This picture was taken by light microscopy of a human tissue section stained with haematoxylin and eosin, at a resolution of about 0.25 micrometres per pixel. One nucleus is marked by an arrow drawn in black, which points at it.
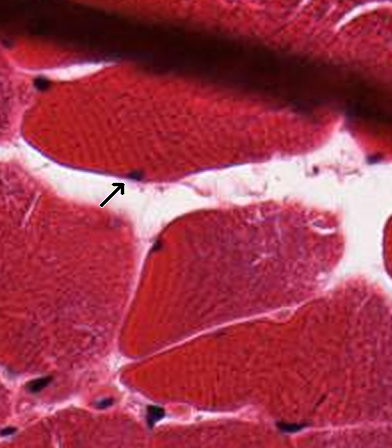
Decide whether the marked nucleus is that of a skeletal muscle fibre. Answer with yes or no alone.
yes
